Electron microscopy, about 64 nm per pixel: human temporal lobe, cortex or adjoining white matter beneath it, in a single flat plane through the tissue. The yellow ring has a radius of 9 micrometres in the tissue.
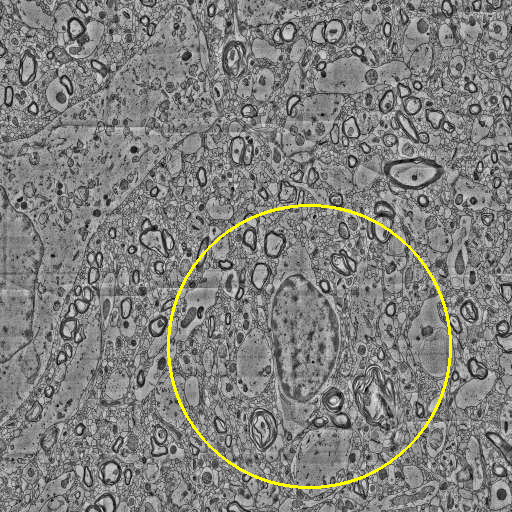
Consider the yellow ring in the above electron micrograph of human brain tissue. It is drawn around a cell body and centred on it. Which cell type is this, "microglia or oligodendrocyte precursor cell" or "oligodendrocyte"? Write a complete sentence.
The cell in question is a microglial cell or oligodendrocyte precursor cell.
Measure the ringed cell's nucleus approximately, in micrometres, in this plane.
In this plane the nucleus is roughly 8 by 4 micrometres, clearly longer than it is wide.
